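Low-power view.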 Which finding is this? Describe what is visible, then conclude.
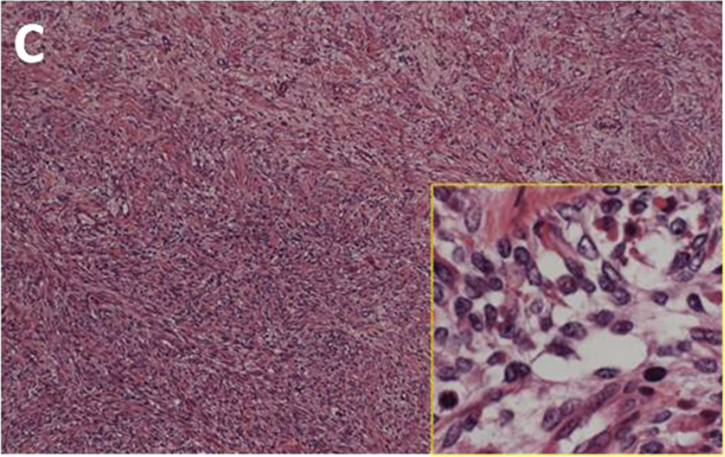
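Hypercellular, fascicular spindle cell neoplasm. The field is densely packed with cells. The cells are elongated, spindle-shaped. The cells run in intersecting bundles in different directions.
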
